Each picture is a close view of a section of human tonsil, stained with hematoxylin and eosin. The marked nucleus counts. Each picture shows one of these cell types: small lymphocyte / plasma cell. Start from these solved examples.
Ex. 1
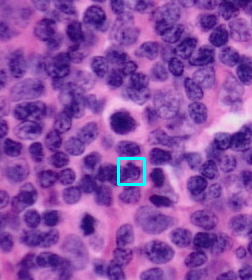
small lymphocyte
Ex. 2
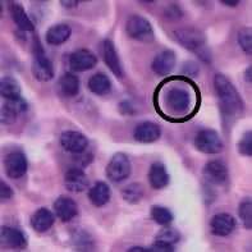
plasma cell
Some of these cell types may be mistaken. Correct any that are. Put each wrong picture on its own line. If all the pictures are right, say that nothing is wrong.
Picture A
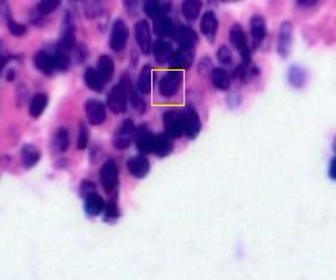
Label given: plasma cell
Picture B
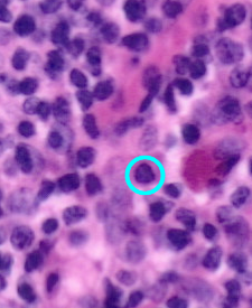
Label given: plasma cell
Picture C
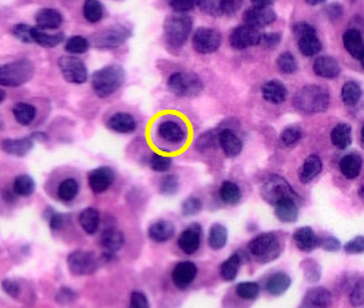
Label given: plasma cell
Wrong: A (plasma cell); correct: small lymphocyte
